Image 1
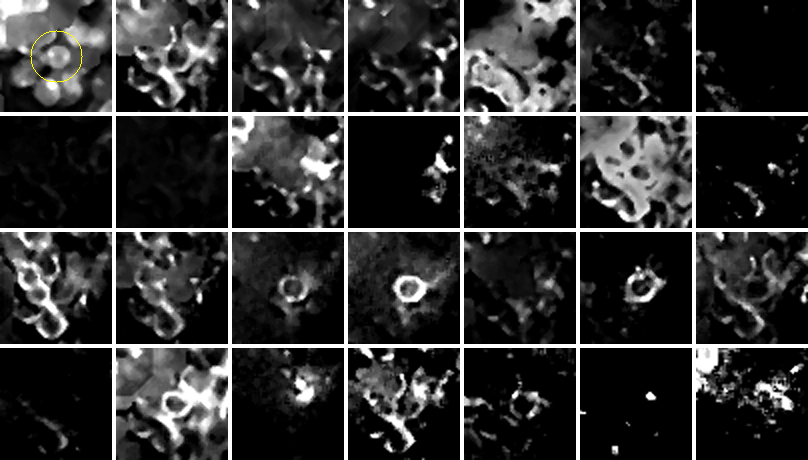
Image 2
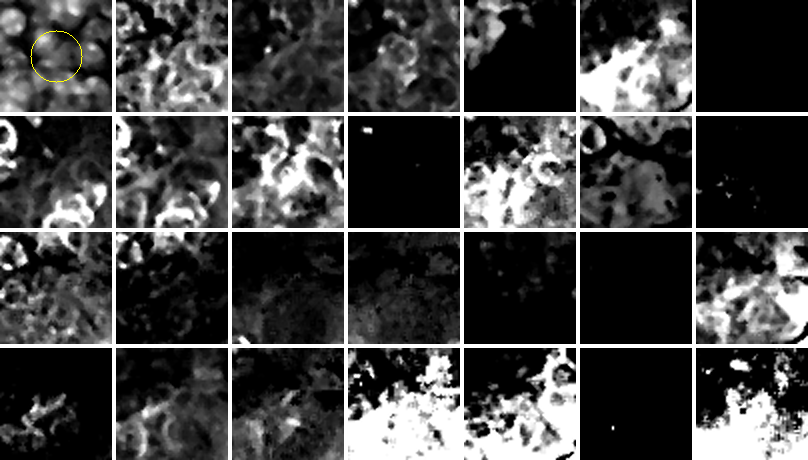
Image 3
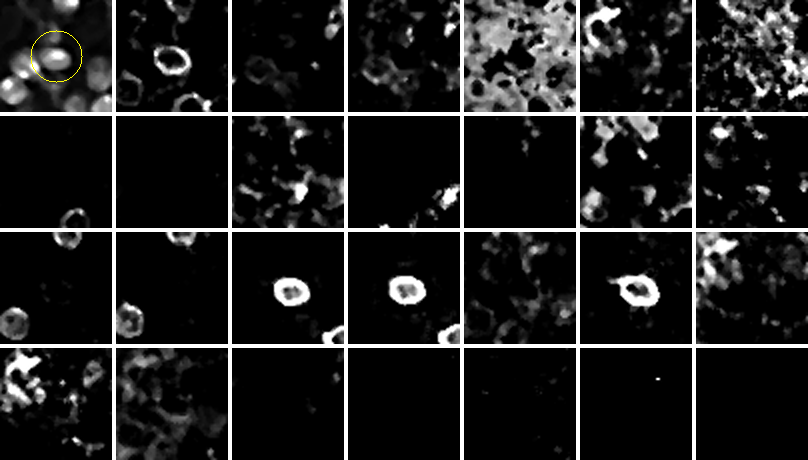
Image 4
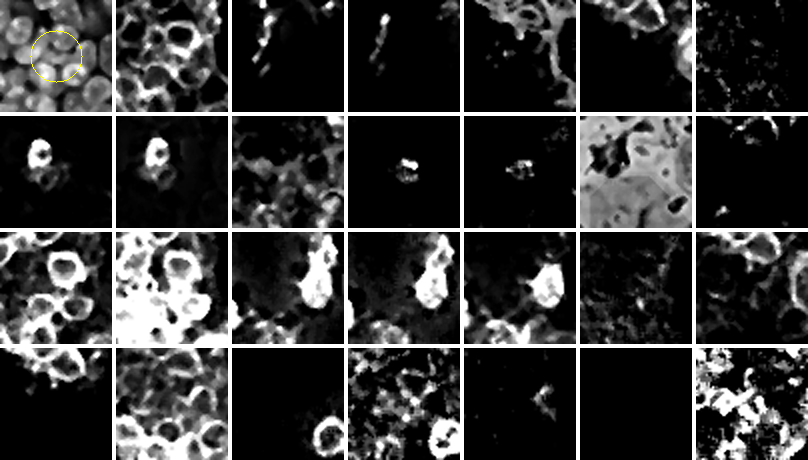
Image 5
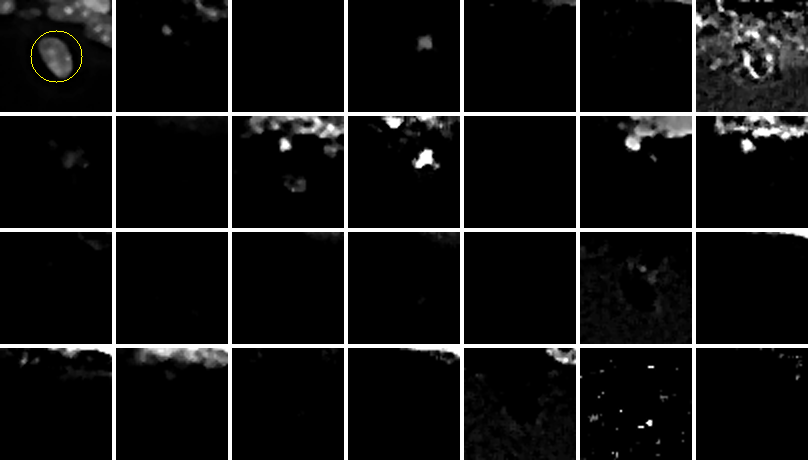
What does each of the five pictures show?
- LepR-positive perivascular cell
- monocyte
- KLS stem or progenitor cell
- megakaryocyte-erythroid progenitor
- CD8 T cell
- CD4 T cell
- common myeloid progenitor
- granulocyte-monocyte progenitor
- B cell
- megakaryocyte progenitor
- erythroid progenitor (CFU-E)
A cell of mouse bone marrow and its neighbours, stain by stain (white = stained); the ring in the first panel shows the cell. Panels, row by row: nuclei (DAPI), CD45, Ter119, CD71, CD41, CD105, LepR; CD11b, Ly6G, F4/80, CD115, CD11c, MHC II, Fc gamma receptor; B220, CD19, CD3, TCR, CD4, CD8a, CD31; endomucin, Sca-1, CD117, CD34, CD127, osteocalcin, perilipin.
1. CD8 T cell
2. erythroid progenitor (CFU-E)
3. CD8 T cell
4. monocyte
5. LepR-positive perivascular cell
